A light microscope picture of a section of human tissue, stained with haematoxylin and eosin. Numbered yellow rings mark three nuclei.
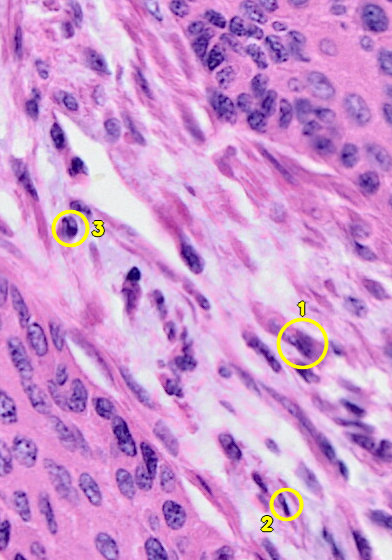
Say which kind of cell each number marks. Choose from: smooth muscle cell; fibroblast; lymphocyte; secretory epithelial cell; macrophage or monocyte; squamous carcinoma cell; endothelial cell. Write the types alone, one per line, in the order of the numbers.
macrophage or monocyte
fibroblast
lymphocyte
